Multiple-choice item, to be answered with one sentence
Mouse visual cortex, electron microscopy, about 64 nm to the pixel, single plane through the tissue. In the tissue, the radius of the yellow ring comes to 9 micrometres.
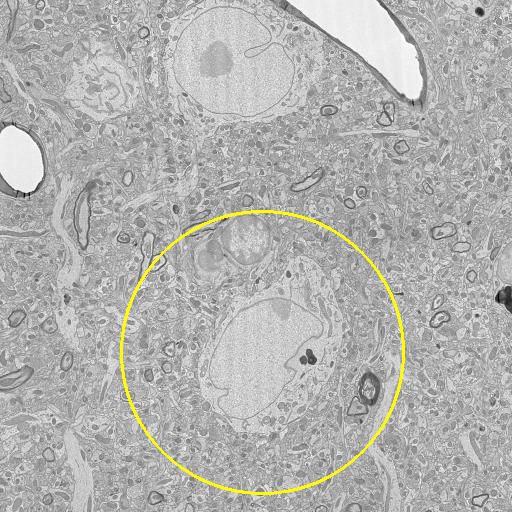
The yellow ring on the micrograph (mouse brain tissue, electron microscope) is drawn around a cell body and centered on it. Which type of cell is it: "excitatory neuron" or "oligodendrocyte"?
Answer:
The ring is centered on an excitatory neuron.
